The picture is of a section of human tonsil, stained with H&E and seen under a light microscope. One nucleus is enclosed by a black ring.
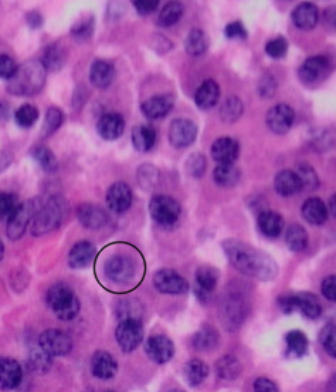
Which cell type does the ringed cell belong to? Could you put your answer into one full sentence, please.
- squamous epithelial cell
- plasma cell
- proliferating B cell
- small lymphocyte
The correct response here is that the ringed cell is a plasma cell.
